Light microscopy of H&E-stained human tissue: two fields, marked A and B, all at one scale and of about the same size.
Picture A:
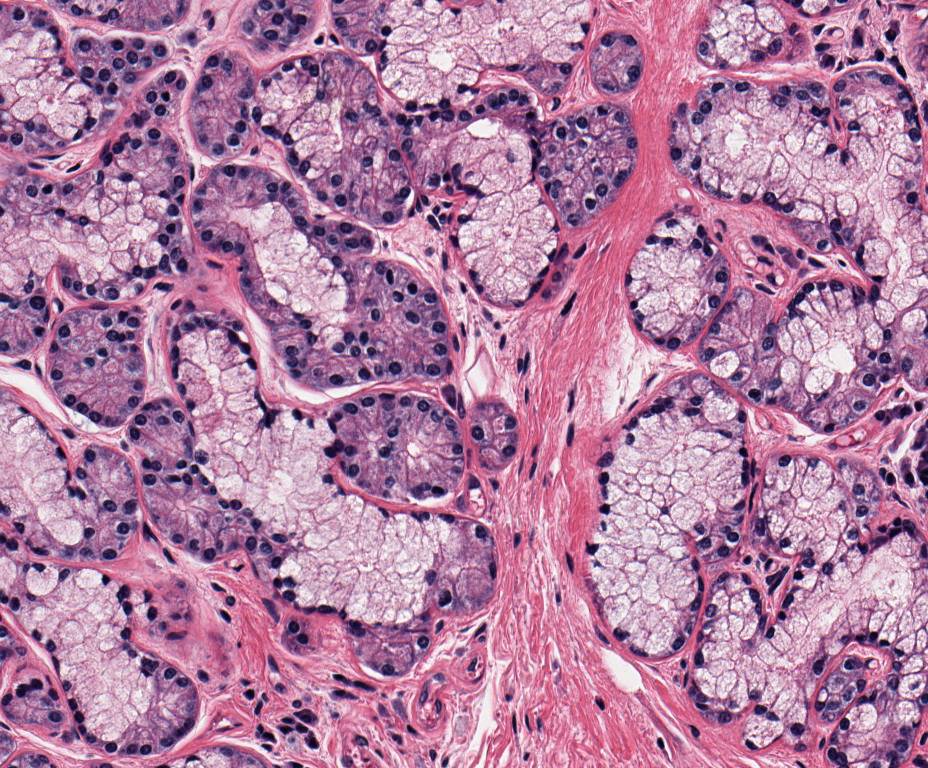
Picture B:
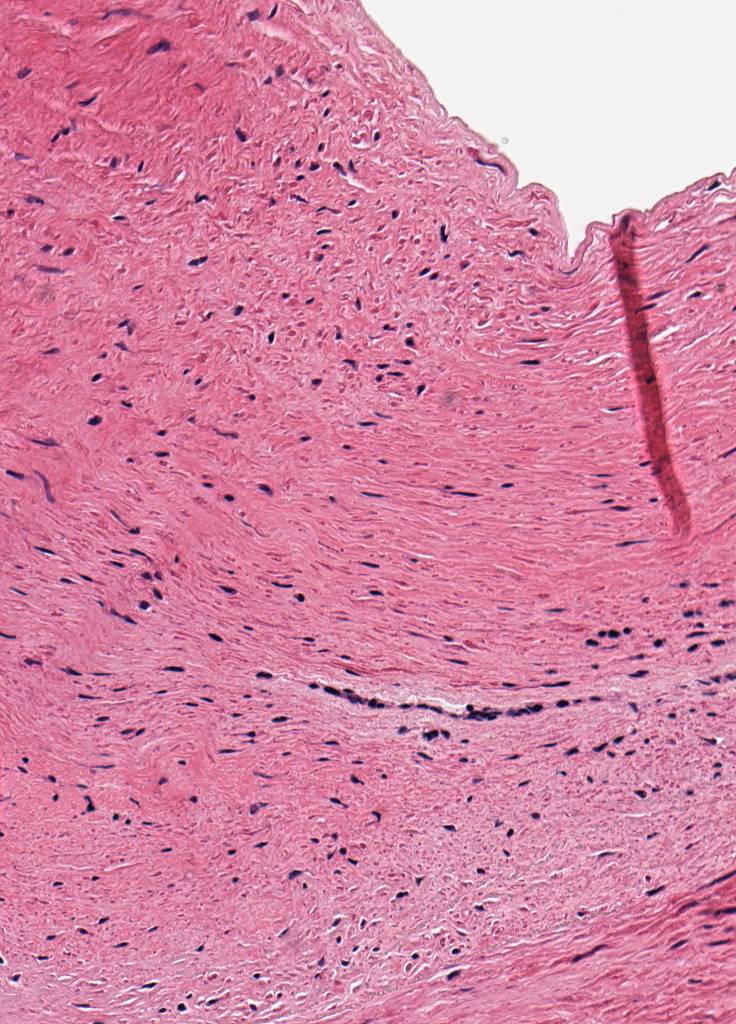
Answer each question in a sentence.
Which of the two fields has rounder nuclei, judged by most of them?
Rounder nuclei lie in picture A.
